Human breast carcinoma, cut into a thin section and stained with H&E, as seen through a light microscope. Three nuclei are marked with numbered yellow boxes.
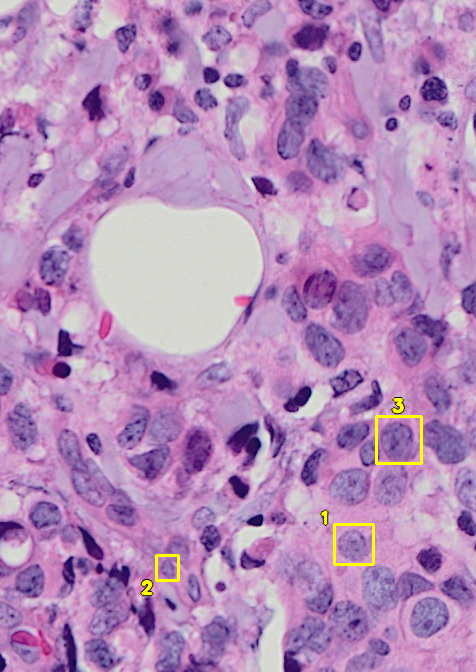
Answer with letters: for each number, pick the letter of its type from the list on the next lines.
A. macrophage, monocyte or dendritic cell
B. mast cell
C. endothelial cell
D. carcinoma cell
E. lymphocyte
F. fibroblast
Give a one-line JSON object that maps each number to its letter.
{"1": "D", "2": "C", "3": "D"}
